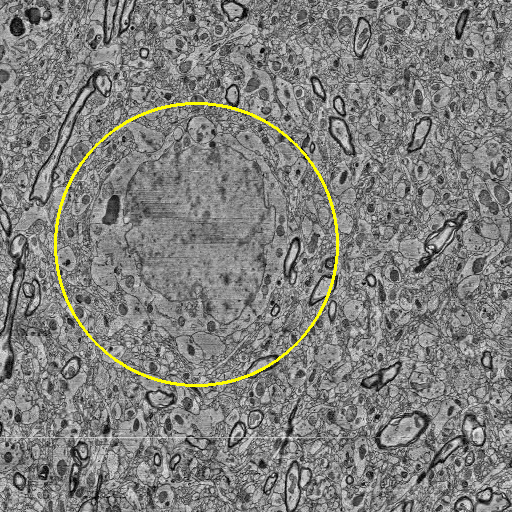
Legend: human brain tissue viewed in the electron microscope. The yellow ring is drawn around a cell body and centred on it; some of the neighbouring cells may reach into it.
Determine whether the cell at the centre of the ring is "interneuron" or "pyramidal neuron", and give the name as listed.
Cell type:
interneuron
